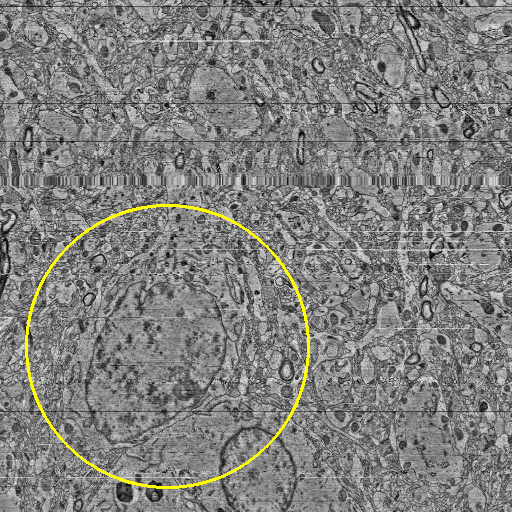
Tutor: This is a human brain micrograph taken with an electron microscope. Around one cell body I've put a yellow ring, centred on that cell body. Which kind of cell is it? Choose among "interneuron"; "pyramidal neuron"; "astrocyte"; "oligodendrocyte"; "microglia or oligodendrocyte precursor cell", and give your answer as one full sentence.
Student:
Going by your list, the cell centred in the yellow ring is an interneuron.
